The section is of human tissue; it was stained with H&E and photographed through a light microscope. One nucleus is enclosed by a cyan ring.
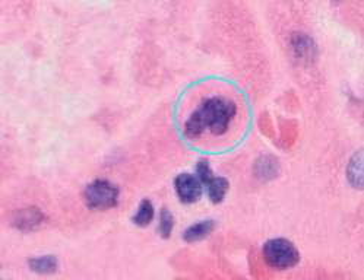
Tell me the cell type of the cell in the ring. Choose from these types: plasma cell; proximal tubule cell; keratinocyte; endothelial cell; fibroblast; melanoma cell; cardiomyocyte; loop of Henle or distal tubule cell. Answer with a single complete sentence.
The cell in the ring is a proximal tubule cell.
